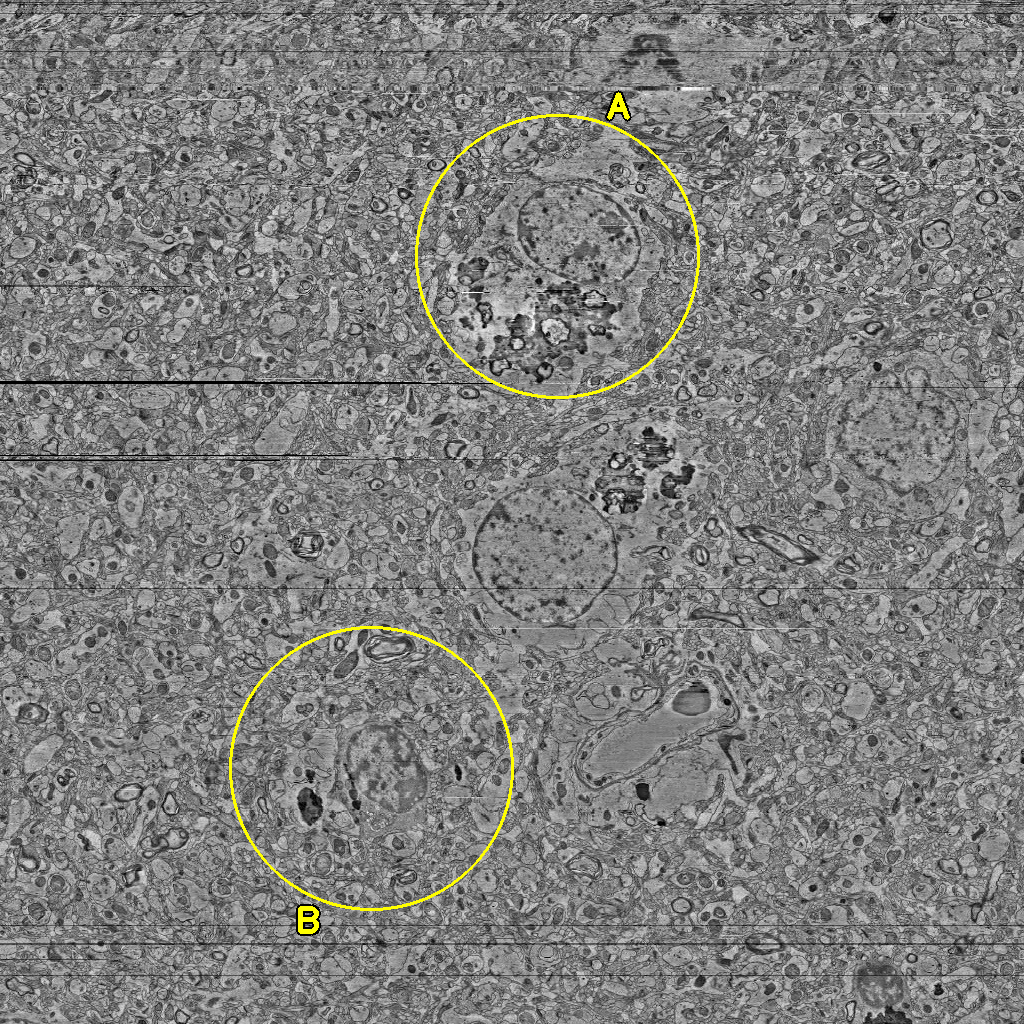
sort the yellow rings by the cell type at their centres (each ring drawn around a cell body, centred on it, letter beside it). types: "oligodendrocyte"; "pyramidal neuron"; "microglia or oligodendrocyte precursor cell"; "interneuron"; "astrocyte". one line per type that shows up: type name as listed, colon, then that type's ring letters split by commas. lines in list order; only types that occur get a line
oligodendrocyte: B
astrocyte: A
